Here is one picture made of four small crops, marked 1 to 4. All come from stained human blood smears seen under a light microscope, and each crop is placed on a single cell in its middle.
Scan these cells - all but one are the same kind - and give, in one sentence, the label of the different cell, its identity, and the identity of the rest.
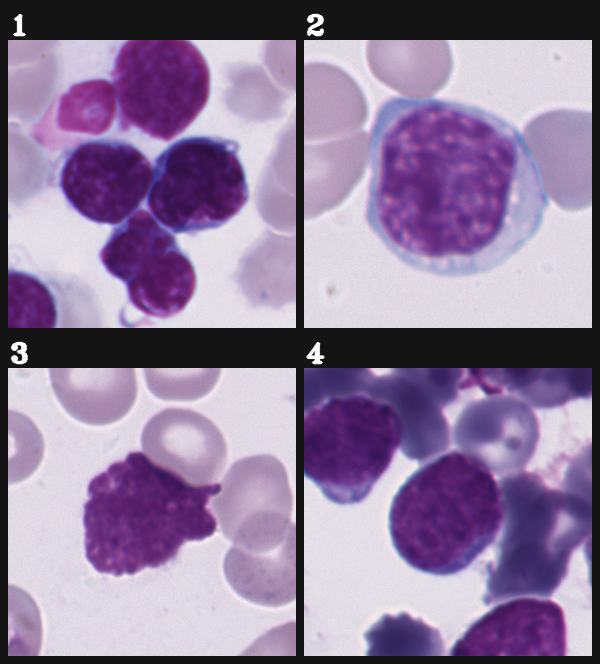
The pattern of myeloblasts across the crops is broken only by crop 3, which shows a smudge cell.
